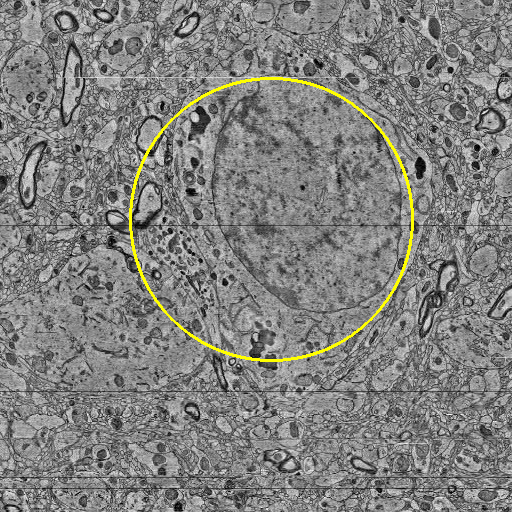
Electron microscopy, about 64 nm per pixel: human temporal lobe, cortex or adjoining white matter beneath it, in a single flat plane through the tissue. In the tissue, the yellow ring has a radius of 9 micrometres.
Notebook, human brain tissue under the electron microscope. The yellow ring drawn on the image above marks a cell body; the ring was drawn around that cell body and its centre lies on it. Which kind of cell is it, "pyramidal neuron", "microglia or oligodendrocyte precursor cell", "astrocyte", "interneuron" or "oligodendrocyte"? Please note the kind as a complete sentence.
The marked cell body is that of an interneuron.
